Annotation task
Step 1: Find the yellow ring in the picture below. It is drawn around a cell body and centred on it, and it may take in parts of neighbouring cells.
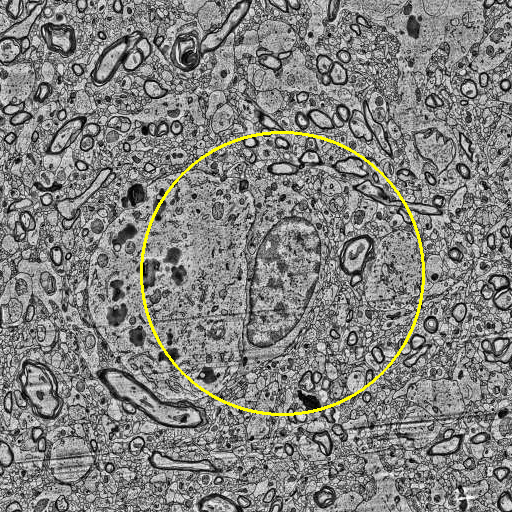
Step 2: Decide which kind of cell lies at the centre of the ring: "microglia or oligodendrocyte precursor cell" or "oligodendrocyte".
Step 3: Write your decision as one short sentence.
The kind of cell at the ring's centre is an oligodendrocyte.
